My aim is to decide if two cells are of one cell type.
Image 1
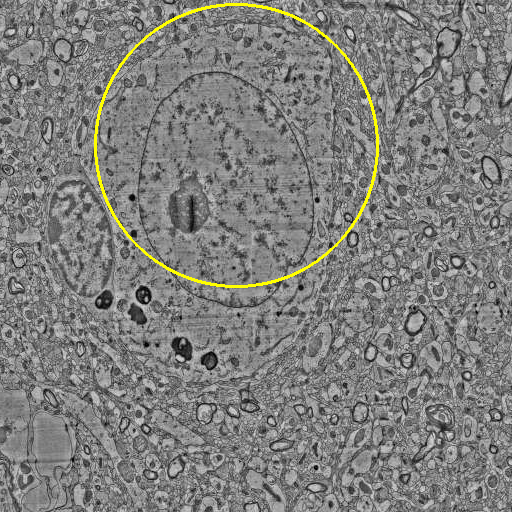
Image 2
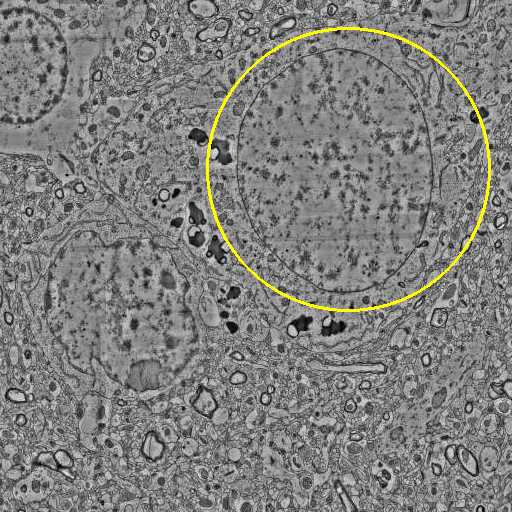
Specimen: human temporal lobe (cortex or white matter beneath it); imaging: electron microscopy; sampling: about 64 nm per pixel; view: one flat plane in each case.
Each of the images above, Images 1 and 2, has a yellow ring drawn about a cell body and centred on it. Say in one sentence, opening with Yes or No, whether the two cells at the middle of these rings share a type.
Yes, in Images 1 and 2 the cells at the middle of the rings share one type.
